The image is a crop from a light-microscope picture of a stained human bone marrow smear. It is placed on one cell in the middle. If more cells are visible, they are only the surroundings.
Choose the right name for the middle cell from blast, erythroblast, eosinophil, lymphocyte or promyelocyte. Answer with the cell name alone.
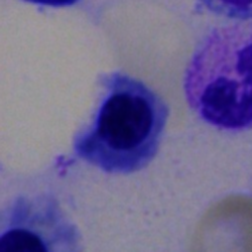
erythroblast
